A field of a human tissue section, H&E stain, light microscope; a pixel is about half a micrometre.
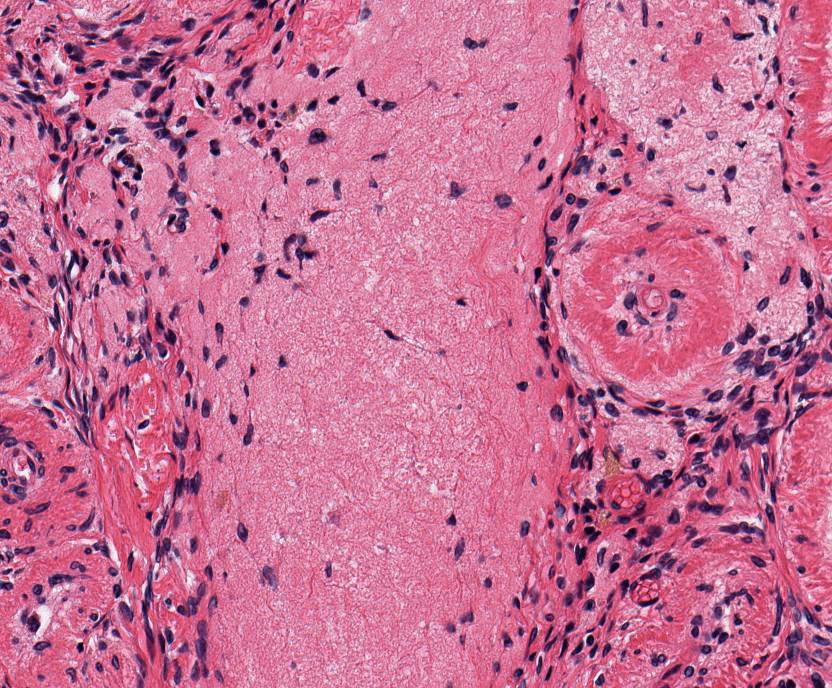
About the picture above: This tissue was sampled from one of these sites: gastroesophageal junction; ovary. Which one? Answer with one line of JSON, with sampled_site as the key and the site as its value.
{"sampled_site": "ovary"}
